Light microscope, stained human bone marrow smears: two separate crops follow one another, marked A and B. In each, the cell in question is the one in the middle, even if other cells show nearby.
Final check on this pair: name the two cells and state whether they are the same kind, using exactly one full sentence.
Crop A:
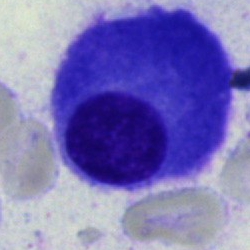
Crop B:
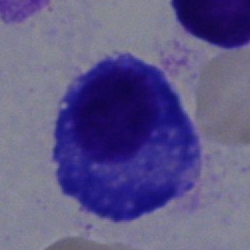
Yes, both crops show plasma cells, the one and the other.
